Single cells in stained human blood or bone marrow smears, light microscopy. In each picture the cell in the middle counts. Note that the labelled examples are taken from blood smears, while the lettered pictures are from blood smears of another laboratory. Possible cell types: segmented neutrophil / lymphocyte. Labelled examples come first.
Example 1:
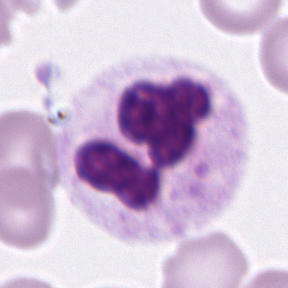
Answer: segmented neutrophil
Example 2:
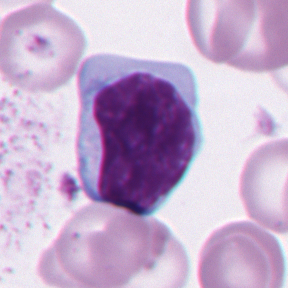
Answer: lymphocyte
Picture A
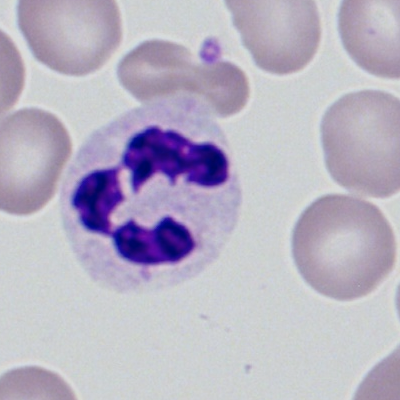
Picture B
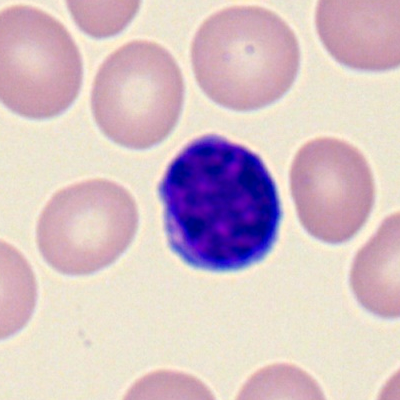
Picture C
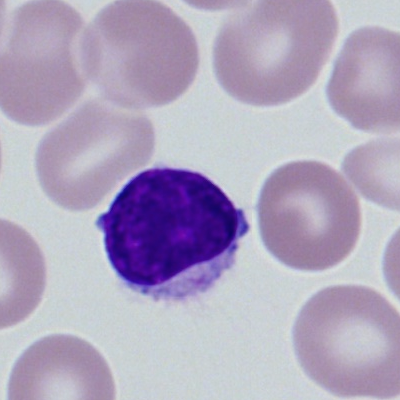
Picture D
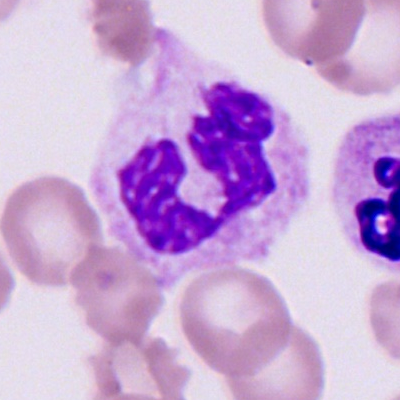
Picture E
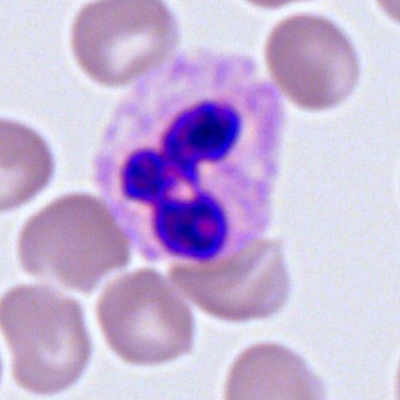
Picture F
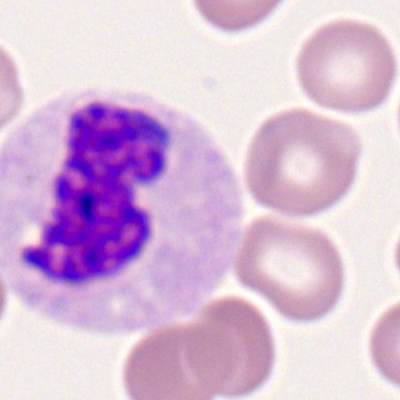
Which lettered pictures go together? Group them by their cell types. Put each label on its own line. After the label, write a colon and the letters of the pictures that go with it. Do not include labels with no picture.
segmented neutrophil: A, D, E, F
lymphocyte: B, C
